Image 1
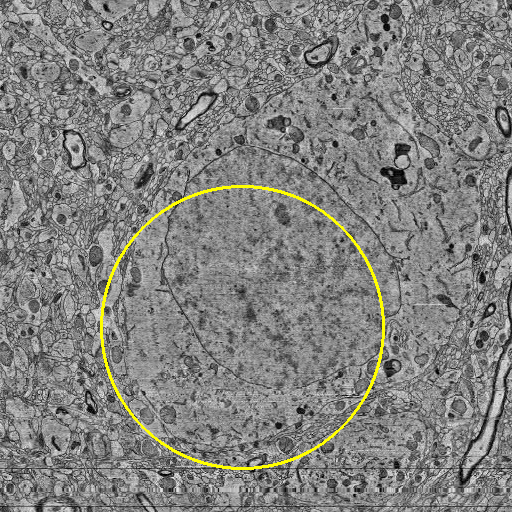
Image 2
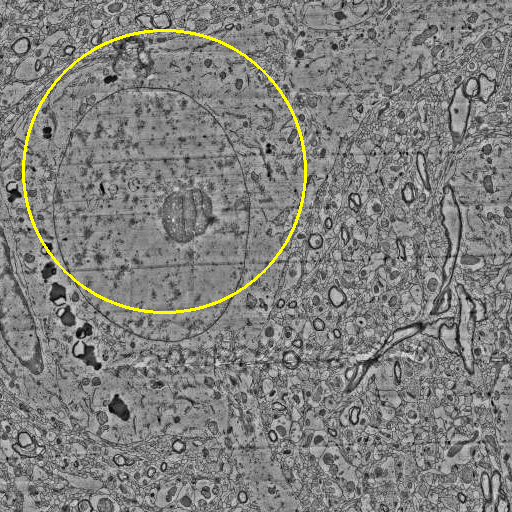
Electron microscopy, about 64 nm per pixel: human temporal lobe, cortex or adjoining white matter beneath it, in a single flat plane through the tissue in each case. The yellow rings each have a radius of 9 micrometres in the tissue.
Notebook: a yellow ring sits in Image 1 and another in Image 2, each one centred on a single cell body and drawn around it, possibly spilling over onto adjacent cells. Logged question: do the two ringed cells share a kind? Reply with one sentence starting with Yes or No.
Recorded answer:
Yes, both centre cells inside the rings of Image 1 and Image 2 share one kind.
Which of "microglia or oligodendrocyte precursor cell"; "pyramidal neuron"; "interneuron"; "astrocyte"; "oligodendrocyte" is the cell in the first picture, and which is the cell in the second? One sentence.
Both the first and the second picture show a pyramidal neuron in the ring.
